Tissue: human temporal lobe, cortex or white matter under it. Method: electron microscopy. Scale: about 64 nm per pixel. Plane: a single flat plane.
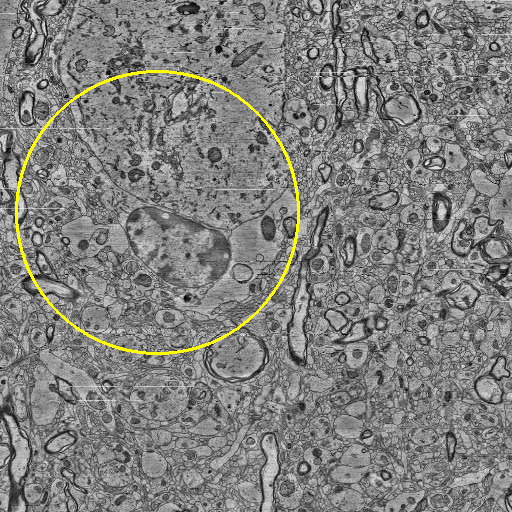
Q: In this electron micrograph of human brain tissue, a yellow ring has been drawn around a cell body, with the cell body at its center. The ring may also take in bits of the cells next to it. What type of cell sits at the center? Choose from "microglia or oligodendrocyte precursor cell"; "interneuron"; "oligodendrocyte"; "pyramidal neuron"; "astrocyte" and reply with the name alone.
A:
microglia or oligodendrocyte precursor cell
